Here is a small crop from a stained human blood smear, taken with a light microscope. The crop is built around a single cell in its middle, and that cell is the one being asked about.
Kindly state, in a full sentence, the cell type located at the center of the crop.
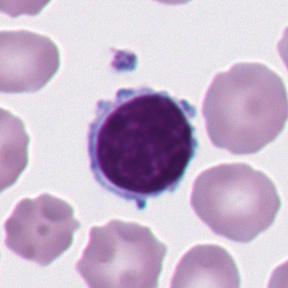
Positioned in the middle of the crop is a typical lymphocyte.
